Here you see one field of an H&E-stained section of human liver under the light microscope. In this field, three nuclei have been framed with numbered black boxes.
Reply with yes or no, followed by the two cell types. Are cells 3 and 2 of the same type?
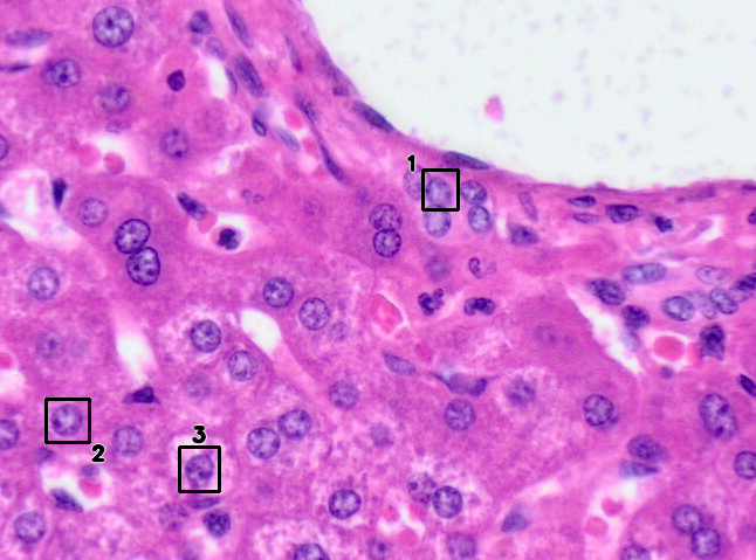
Yes, both are hepatocytes.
